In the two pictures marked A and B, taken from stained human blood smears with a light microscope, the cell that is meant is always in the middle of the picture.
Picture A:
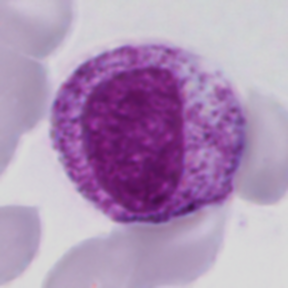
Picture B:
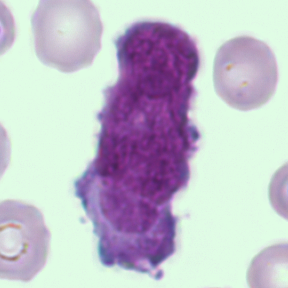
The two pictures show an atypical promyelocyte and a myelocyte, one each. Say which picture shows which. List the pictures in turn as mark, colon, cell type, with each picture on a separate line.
A: myelocyte
B: atypical promyelocyte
